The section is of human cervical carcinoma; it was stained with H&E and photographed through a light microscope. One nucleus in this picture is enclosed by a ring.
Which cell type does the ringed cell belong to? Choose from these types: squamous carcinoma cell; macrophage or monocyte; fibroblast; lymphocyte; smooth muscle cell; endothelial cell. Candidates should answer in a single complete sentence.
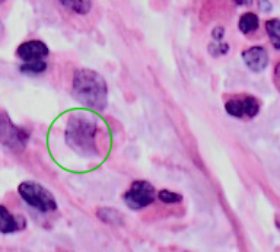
Within this tissue, the ringed cell is a macrophage or monocyte.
